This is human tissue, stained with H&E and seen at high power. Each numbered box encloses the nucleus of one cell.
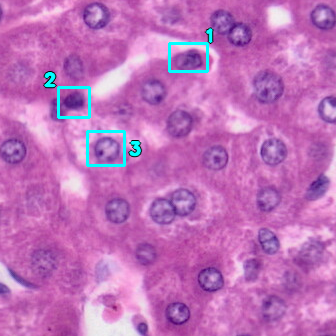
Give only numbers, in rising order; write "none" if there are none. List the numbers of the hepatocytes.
3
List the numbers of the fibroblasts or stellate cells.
2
